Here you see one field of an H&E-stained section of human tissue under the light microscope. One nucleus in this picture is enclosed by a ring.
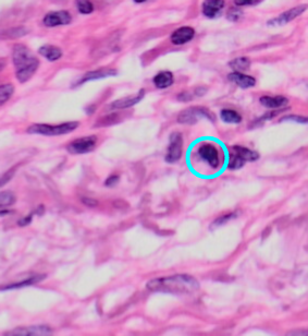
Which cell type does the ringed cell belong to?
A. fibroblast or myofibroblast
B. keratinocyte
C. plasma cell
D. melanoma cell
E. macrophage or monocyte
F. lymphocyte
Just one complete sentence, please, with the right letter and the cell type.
Option C is the correct one: the ringed cell is a plasma cell.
